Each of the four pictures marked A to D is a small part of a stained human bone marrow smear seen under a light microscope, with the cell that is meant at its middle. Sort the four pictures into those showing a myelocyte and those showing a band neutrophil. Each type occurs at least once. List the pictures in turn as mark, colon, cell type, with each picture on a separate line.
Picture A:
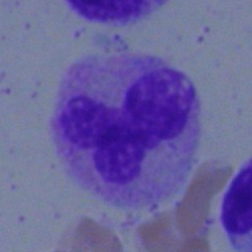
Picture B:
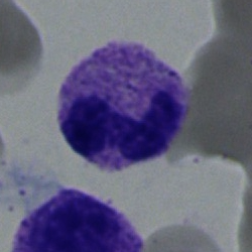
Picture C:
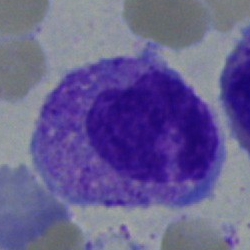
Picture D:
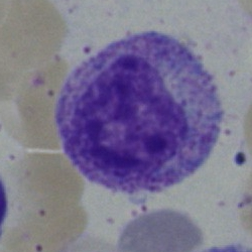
A: band neutrophil
B: band neutrophil
C: myelocyte
D: myelocyte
